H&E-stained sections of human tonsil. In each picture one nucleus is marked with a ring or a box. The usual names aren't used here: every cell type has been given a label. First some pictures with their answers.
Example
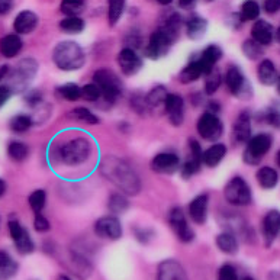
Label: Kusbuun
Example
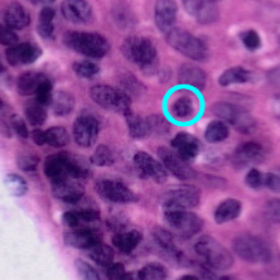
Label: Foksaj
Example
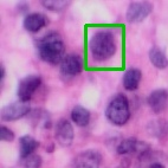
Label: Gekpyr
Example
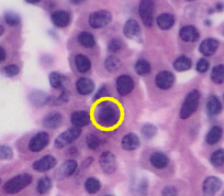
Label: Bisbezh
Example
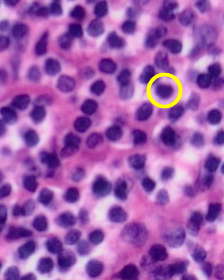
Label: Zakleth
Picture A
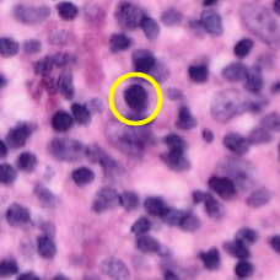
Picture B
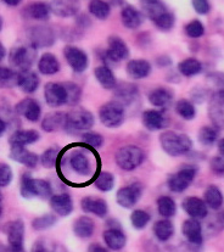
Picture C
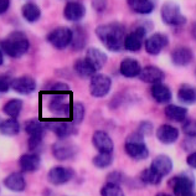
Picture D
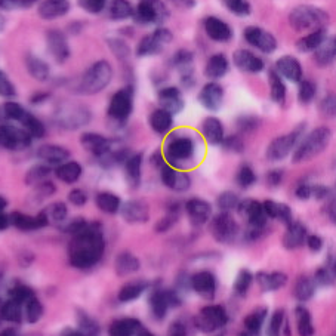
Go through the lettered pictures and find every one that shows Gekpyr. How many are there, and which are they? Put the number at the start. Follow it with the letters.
Count: 1 (A)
